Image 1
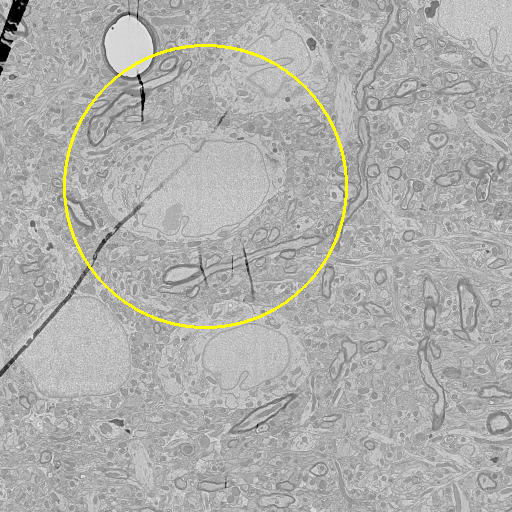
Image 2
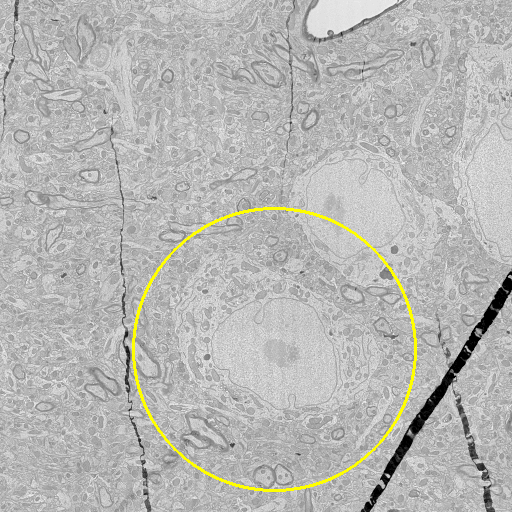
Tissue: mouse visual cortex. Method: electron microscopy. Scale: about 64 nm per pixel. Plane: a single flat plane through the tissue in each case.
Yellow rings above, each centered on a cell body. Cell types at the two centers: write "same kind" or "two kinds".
two kinds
